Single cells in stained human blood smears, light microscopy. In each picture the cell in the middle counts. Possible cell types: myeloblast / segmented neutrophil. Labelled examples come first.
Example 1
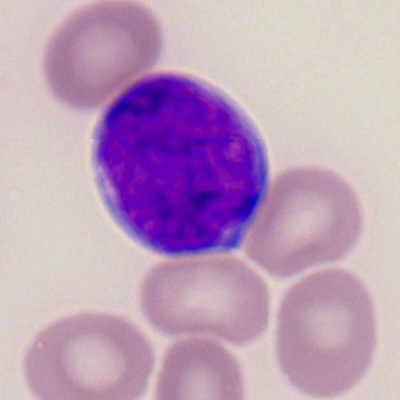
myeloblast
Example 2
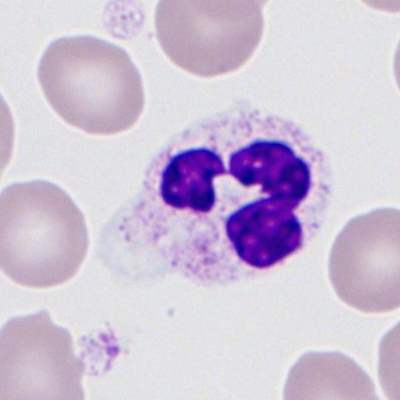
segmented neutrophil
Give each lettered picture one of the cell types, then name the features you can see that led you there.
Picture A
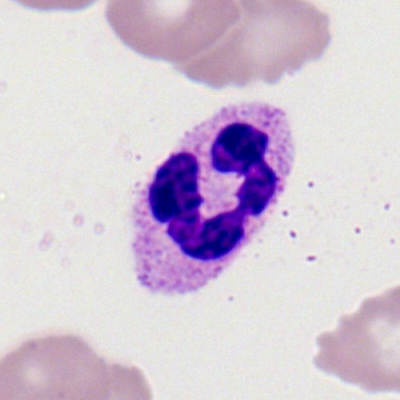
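segmented neutrophil. Reason: The cytoplasm is plentiful and pale pink-lilac.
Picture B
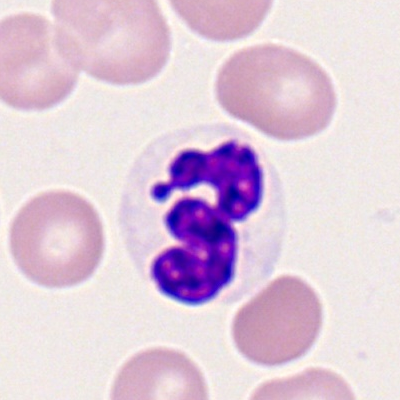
segmented neutrophil. Reason: The cytoplasm is pale and nearly colourless, with a faint lilac tint.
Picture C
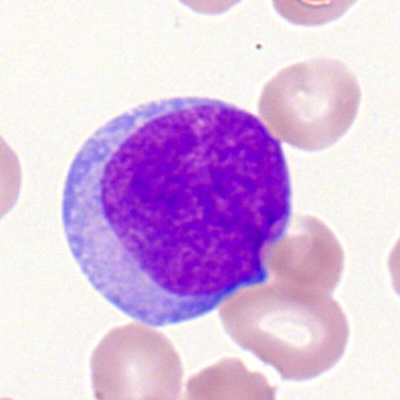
myeloblast. Reason: The cytoplasm is stained blue.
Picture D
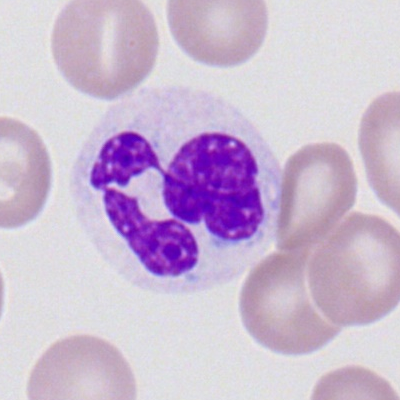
segmented neutrophil. Reason: The nucleus is split into three lobes.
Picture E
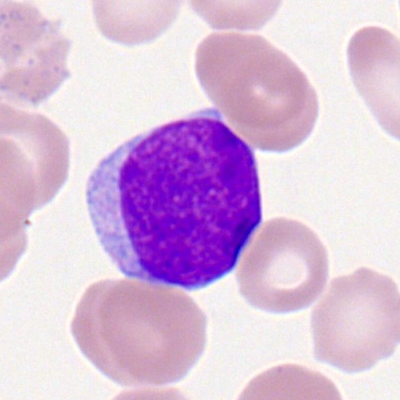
myeloblast. Reason: The nucleus fills most of the cell and sits toward its right side.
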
